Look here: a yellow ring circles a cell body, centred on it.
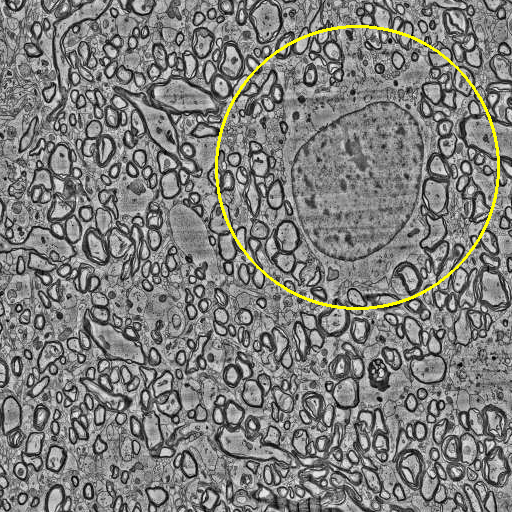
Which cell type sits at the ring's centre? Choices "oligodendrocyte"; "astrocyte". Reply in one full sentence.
The cell at the centre of the yellow ring in the picture is an astrocyte.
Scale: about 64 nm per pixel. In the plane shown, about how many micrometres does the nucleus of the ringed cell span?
In this plane, roughly 11 by 8 micrometres.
